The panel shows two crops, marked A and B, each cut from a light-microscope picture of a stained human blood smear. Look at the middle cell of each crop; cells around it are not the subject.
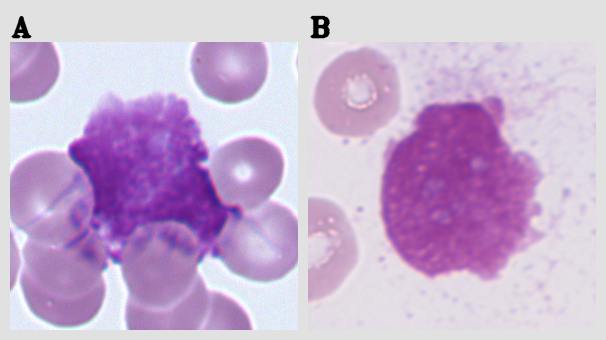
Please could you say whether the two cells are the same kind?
yes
